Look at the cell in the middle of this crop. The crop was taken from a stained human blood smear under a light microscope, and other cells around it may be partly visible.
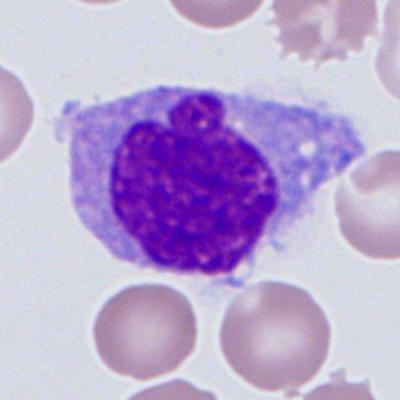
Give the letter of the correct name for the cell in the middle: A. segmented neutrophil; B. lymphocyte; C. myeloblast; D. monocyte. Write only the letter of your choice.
D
